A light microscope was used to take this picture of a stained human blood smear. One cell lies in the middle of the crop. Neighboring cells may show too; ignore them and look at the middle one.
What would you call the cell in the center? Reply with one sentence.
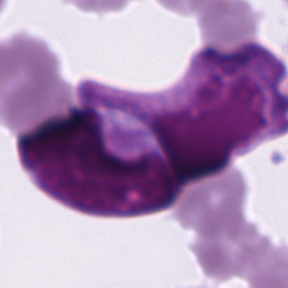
Positioned in the middle of the crop is a myeloblast.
